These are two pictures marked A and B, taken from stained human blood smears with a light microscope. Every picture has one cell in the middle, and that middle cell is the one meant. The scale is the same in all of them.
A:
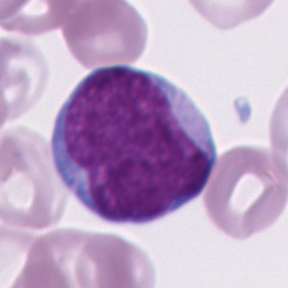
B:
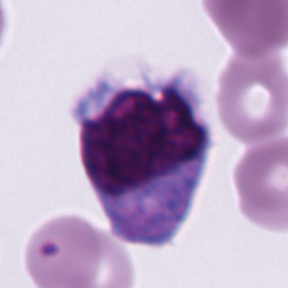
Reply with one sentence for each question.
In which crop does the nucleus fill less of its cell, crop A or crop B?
Of the two, the nucleus in crop B leaves more room for cytoplasm.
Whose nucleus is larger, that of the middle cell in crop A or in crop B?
Larger is the nucleus in crop A, at roughly 2 times the area of the other.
